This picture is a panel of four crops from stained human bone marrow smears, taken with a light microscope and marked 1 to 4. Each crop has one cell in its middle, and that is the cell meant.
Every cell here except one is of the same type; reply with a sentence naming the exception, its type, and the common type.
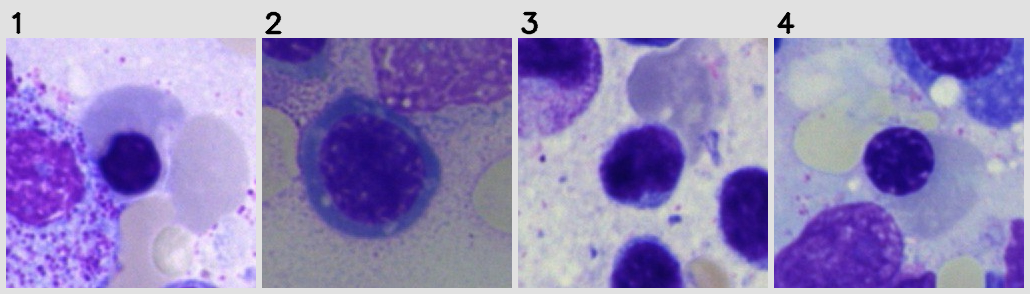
With the other crops all showing erythroblasts, crop 3 differs by showing a lymphocyte.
